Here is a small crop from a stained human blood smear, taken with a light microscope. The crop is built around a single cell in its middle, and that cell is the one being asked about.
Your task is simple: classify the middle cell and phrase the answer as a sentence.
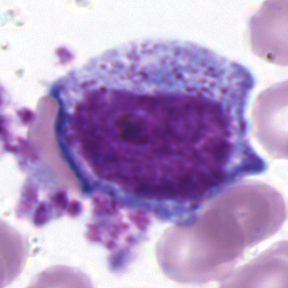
By type, the central cell of the crop is a promyelocyte.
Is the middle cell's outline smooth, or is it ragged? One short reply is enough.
The cytoplasmic margin is uneven, whether through ragged segments or through projections.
